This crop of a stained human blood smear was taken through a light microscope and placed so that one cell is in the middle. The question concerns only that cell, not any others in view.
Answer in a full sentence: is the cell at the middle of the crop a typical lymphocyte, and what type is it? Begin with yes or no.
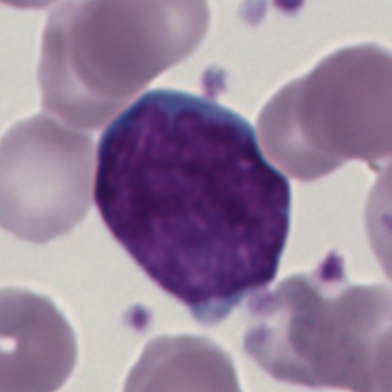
Yes, the cell in the middle of the crop is a typical lymphocyte.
